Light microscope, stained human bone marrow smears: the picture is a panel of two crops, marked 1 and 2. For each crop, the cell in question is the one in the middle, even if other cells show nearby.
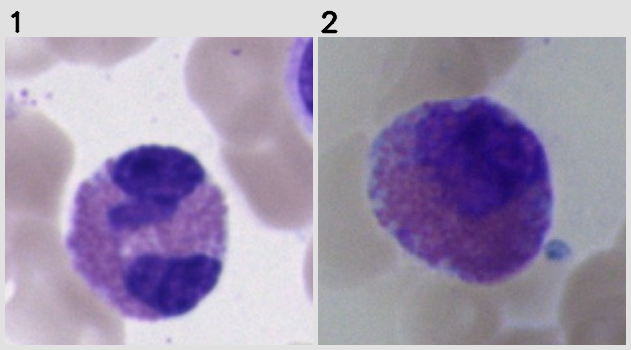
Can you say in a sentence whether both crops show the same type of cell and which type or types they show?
Yes, both crops show eosinophils at their middles.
